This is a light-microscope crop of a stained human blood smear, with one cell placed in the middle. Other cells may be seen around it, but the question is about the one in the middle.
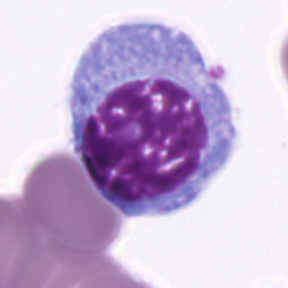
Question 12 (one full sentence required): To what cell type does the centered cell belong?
The cell nearest the centre of this crop is a plasma cell.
